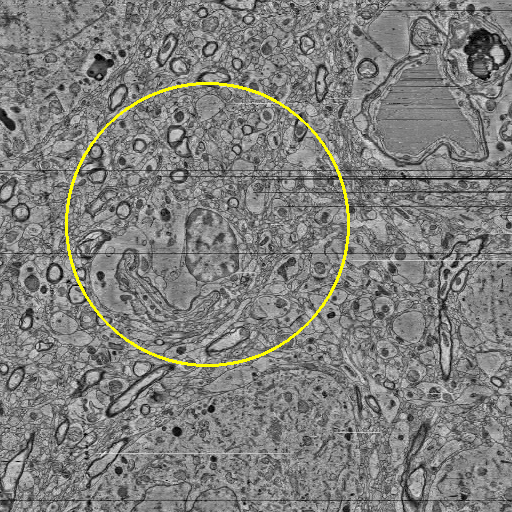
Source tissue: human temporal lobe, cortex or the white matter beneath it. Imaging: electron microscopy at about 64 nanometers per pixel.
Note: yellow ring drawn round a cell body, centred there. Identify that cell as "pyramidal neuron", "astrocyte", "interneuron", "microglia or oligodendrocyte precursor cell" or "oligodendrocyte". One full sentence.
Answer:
The cell in the middle of the ring is a microglial cell or oligodendrocyte precursor cell.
